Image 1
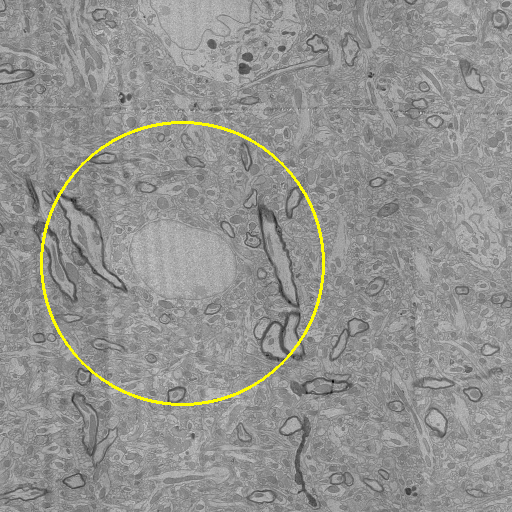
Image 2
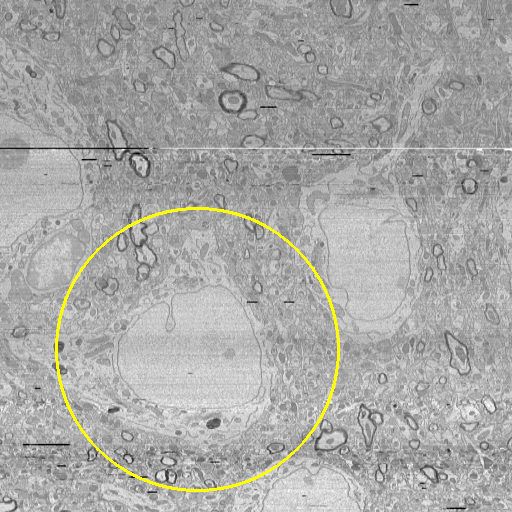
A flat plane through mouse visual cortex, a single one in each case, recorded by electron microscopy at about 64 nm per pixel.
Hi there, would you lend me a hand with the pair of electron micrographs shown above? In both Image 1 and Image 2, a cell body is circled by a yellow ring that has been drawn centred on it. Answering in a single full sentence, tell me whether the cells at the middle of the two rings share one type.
No, the ringed cells in Image 1 and Image 2 belong to two types.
